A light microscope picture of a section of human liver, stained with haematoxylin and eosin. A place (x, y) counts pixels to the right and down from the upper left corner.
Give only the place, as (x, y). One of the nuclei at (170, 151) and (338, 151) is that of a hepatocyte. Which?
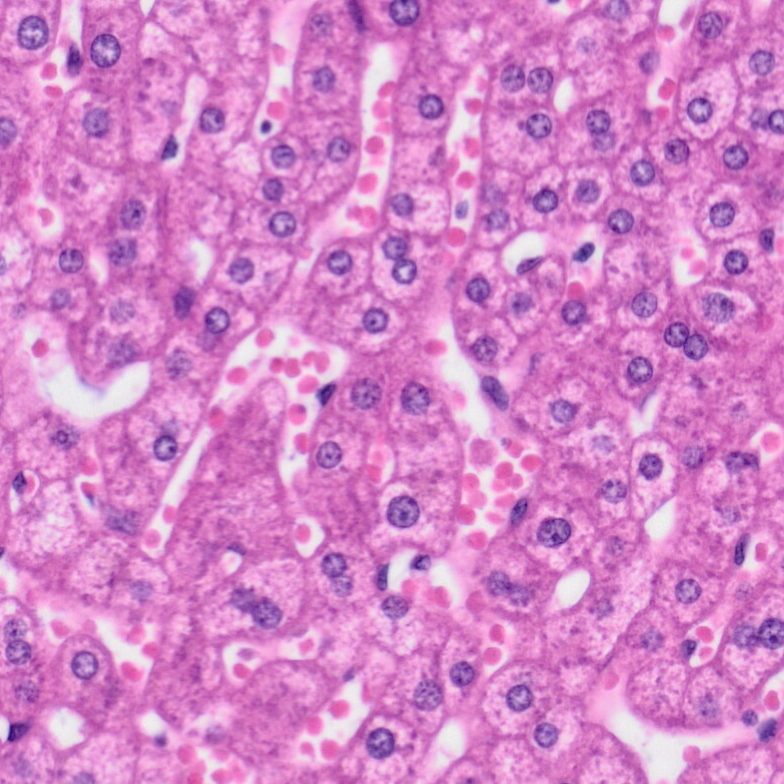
(338, 151)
